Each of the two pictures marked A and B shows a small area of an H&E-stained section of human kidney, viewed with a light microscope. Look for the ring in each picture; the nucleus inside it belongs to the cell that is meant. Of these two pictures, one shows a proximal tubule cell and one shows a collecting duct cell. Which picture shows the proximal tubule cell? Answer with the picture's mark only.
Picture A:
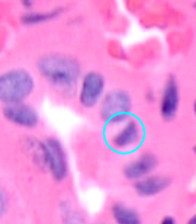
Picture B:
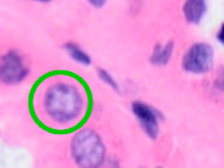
B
